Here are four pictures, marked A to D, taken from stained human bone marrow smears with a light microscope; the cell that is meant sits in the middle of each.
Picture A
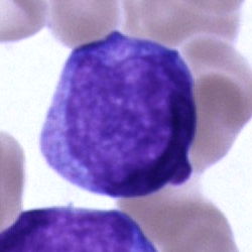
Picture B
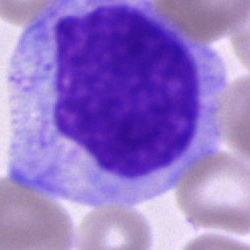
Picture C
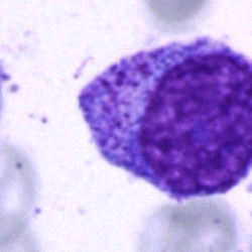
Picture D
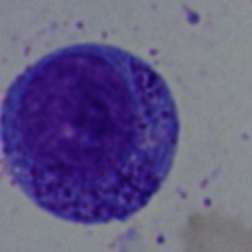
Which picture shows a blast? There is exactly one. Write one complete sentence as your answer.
The cell in picture A is the blast.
